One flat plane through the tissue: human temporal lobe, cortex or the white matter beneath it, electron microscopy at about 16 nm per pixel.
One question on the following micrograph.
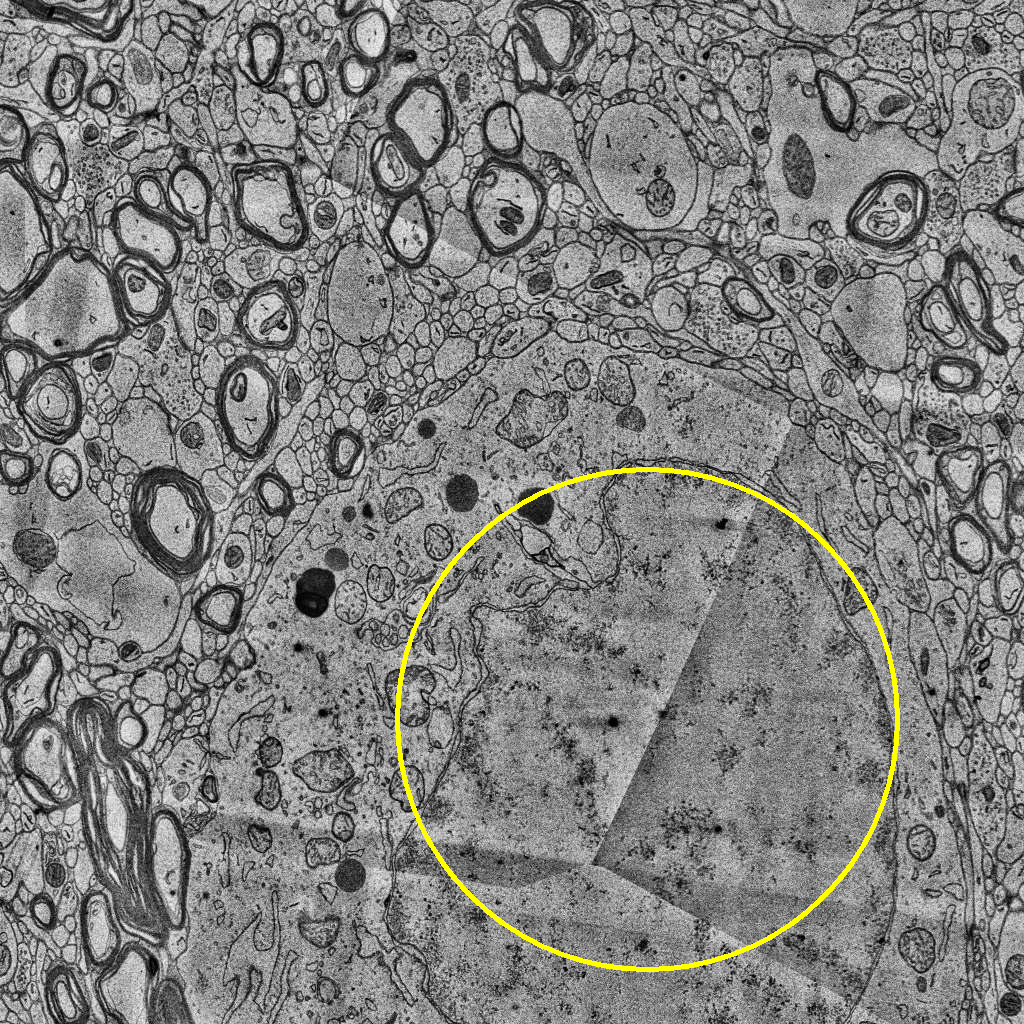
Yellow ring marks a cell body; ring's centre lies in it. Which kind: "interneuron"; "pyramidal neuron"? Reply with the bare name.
interneuron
